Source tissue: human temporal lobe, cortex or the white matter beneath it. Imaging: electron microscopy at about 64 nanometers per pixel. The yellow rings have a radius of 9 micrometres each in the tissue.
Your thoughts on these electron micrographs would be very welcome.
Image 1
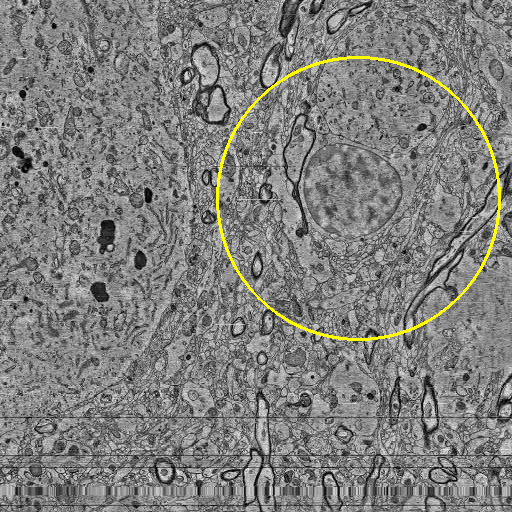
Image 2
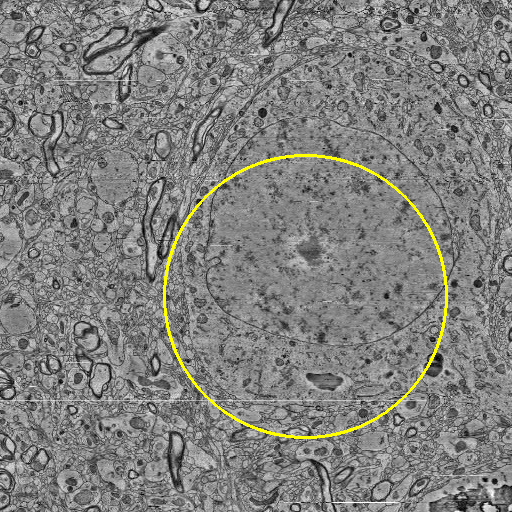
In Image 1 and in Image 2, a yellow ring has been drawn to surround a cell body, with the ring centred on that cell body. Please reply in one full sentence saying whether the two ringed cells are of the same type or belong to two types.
The ringed cells in Image 1 and Image 2 belong to two types.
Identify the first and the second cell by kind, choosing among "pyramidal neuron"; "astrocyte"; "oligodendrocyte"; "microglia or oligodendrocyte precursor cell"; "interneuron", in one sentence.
The one in the first picture is an oligodendrocyte, while the one in the second is a pyramidal neuron.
